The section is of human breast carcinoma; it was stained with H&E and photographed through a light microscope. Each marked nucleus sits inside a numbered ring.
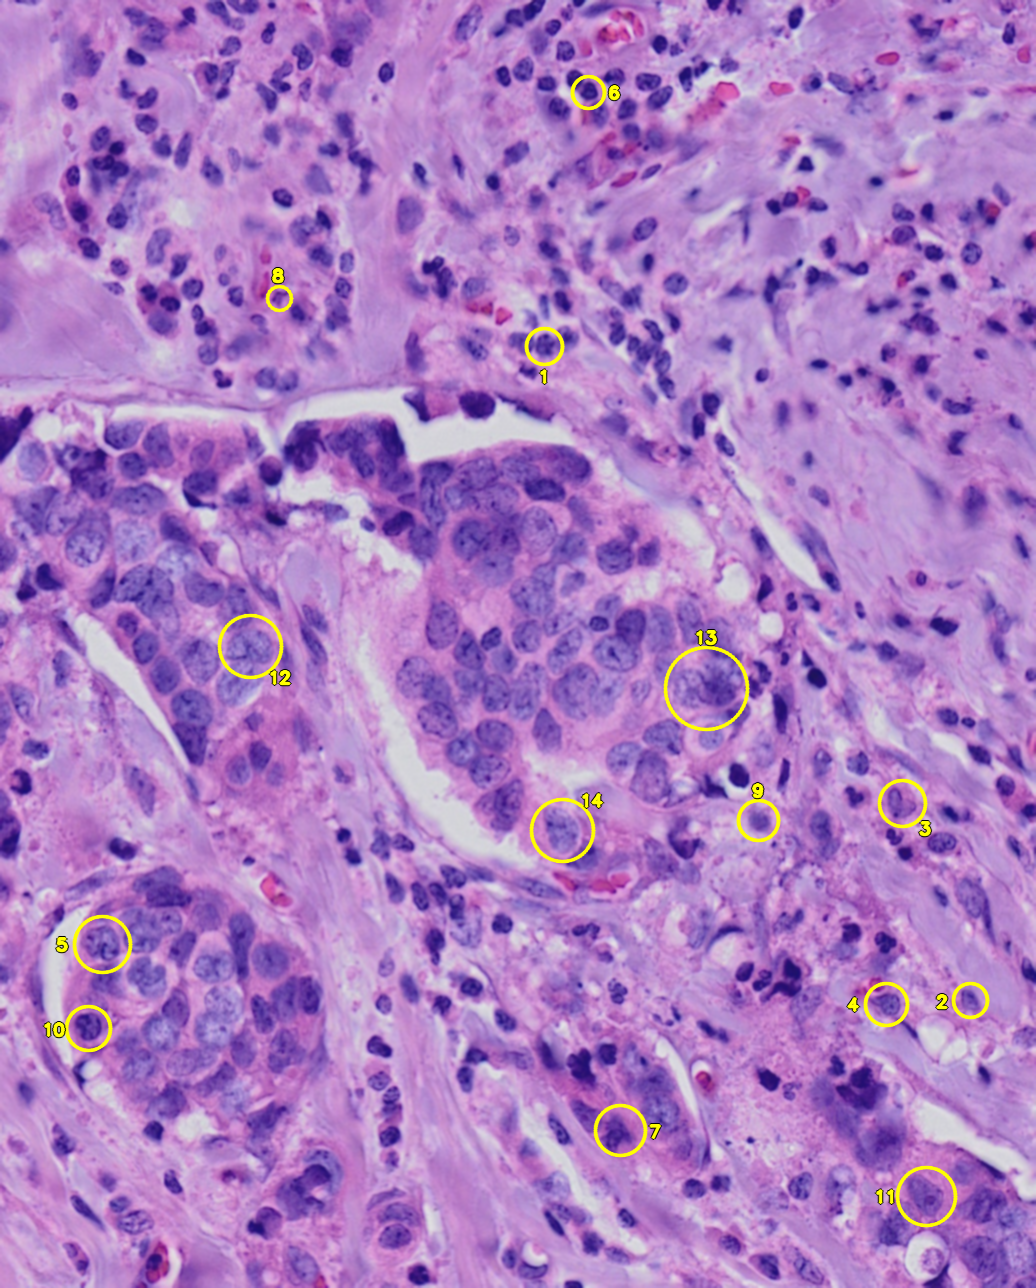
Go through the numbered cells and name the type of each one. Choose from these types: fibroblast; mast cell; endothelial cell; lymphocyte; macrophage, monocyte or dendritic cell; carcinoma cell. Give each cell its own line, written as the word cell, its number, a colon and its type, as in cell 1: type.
cell 1: lymphocyte
cell 2: macrophage, monocyte or dendritic cell
cell 3: macrophage, monocyte or dendritic cell
cell 4: endothelial cell
cell 5: carcinoma cell
cell 6: lymphocyte
cell 7: carcinoma cell
cell 8: endothelial cell
cell 9: macrophage, monocyte or dendritic cell
cell 10: carcinoma cell
cell 11: carcinoma cell
cell 12: carcinoma cell
cell 13: carcinoma cell
cell 14: carcinoma cell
